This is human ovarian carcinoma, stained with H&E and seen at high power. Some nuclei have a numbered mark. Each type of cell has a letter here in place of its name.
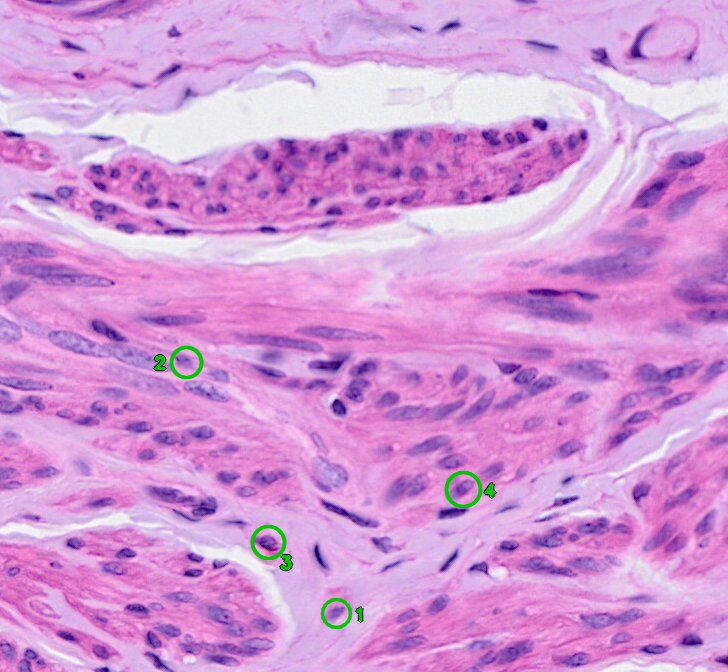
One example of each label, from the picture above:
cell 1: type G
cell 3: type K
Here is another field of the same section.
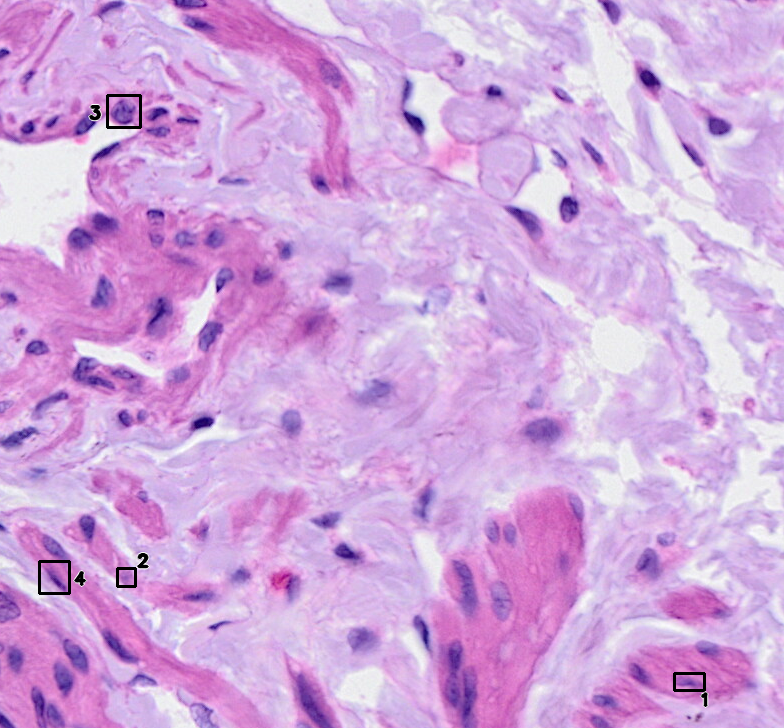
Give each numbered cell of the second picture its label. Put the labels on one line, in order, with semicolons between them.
type G; type G; type K; type G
